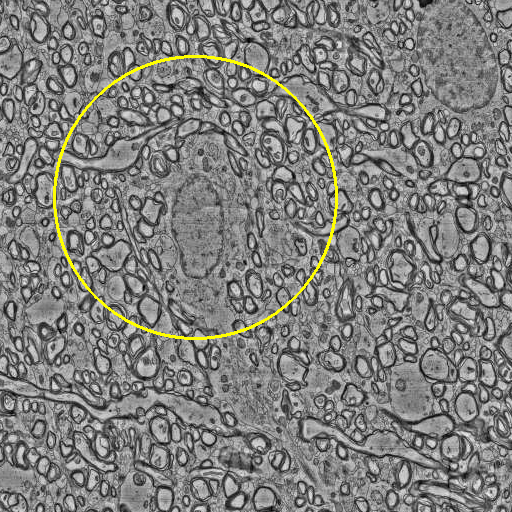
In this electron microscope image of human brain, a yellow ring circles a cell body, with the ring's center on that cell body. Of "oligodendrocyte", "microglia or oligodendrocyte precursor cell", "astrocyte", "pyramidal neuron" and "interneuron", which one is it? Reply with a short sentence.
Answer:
It is an astrocyte at the center of the ring.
